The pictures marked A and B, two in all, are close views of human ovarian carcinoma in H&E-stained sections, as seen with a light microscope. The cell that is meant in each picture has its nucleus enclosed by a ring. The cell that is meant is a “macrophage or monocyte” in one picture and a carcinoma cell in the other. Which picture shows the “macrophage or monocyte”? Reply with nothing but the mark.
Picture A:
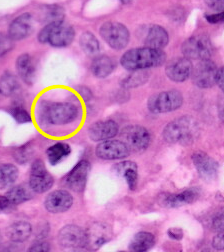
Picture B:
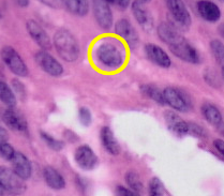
B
